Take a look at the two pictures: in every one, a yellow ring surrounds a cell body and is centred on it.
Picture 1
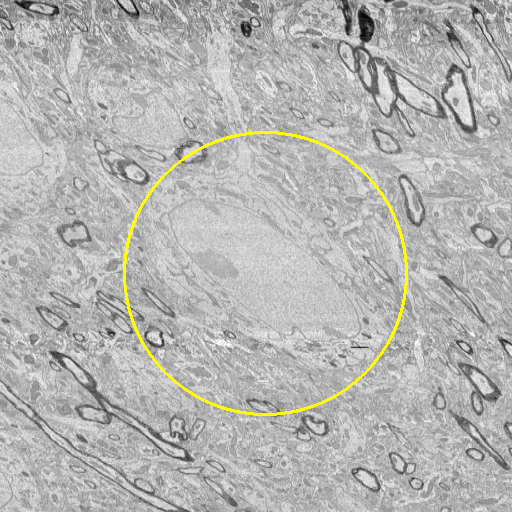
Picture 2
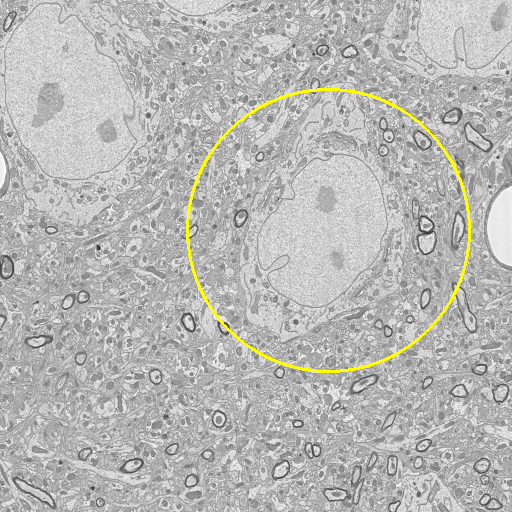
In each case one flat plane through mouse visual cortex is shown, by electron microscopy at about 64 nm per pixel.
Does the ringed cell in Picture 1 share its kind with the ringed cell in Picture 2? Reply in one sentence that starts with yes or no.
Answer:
Yes, the two centred cells, one per picture, are of one kind.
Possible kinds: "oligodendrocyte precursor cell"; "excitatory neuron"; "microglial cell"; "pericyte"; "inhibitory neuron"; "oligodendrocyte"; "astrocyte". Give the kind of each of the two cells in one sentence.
Each of the two pictures has an excitatory neuron at the ring centre.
